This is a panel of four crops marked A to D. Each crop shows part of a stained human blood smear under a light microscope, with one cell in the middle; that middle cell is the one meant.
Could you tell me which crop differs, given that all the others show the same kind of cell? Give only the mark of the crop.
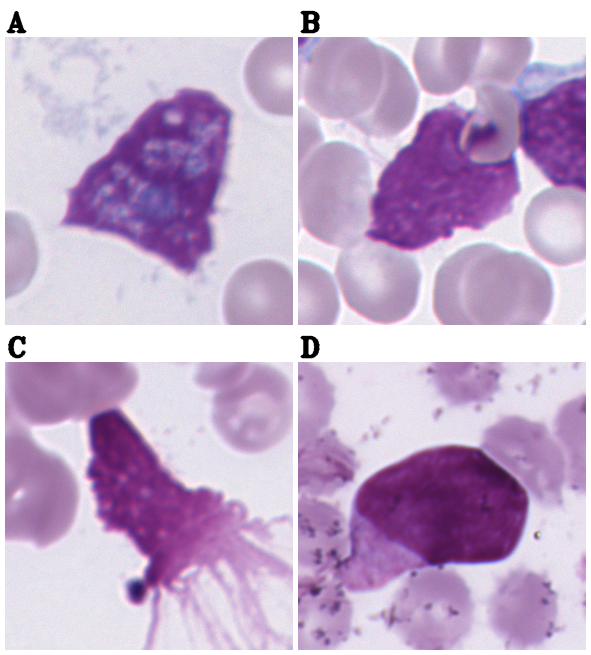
D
